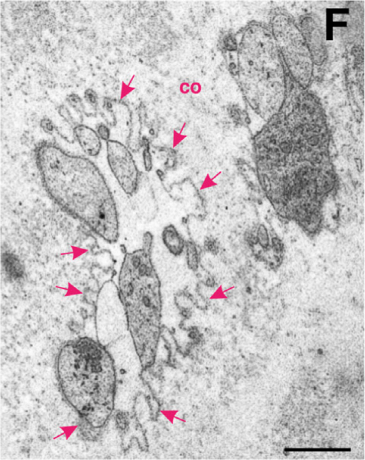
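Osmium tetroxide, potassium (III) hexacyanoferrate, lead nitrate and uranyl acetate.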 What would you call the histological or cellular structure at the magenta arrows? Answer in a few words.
basal lamina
